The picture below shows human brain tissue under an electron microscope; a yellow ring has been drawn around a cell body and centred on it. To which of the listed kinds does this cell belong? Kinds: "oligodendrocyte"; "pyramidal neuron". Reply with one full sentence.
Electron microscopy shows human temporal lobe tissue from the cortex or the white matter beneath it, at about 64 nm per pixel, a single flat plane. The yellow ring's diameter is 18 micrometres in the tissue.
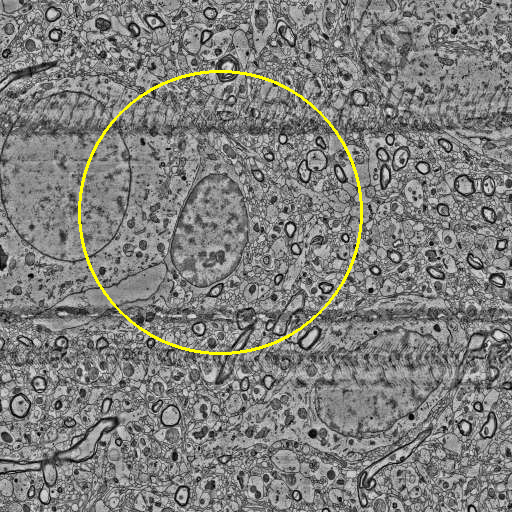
It is an oligodendrocyte that the yellow ring in the picture is centred on.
